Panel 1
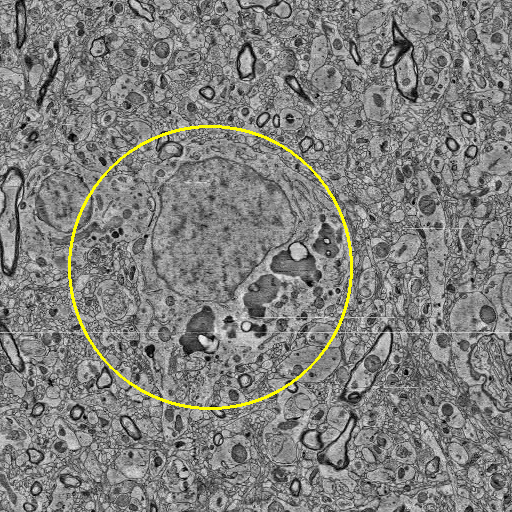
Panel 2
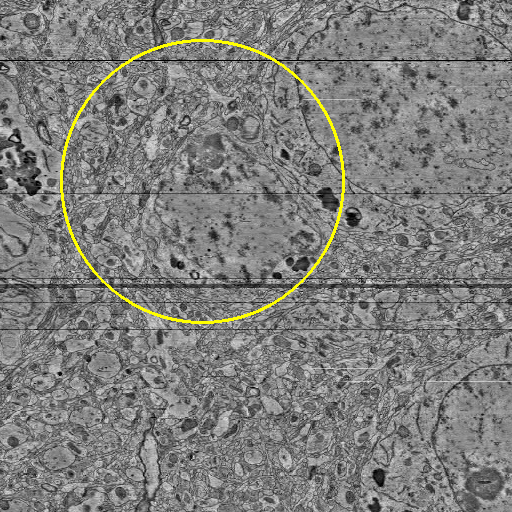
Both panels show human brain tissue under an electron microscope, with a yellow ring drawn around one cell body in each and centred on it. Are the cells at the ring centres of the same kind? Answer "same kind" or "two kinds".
same kind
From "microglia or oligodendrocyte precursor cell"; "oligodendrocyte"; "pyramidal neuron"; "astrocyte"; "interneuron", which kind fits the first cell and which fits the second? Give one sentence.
Both rings mark an interneuron, one in each picture.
